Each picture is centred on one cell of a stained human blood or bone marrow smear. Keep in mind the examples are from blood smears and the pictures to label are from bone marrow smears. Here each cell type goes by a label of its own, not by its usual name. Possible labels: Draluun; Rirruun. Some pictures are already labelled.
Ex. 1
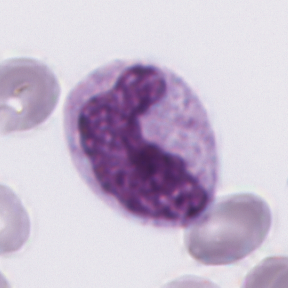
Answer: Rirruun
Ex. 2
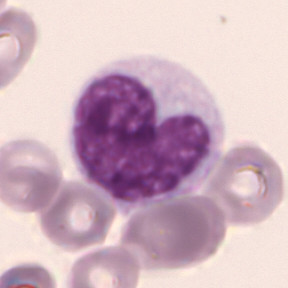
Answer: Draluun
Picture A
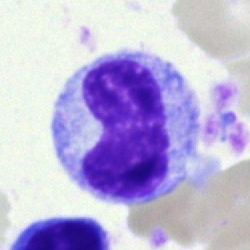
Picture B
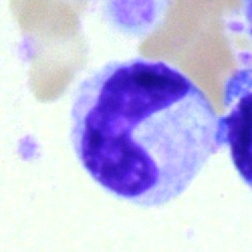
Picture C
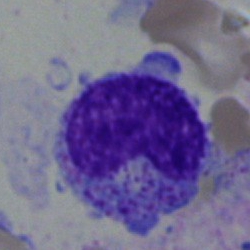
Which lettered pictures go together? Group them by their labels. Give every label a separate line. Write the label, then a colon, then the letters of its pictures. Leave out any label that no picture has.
Draluun: A, C
Rirruun: B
